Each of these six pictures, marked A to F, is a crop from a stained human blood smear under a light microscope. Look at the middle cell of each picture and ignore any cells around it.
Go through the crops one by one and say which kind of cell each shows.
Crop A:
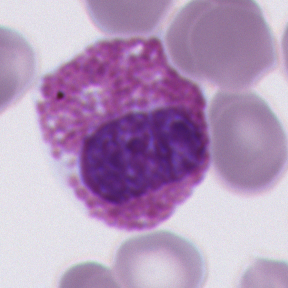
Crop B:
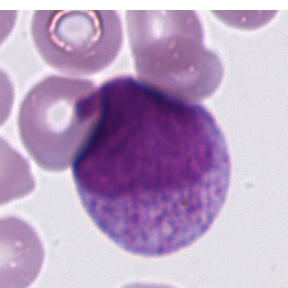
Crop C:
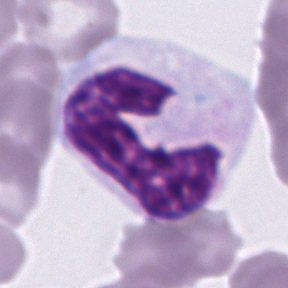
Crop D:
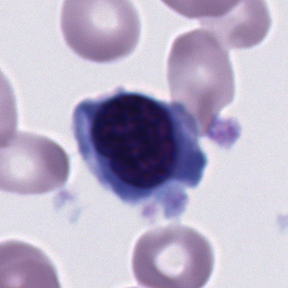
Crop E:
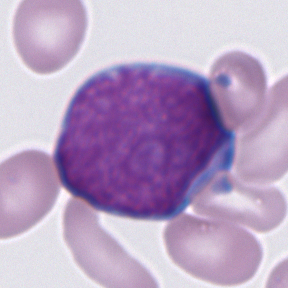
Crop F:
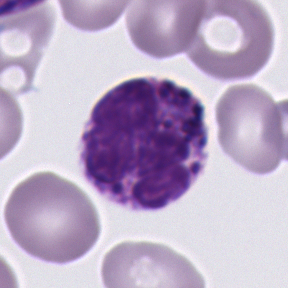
A: eosinophil
B: myelocyte
C: band neutrophil
D: erythroblast
E: myeloblast
F: basophil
